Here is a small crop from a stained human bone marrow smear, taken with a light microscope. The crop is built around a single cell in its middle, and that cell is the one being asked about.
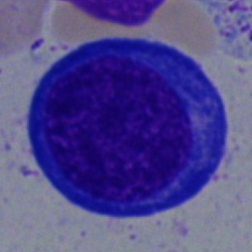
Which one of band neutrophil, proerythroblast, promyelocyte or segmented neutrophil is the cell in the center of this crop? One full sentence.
Looking at the middle of the crop, the cell there is a proerythroblast.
